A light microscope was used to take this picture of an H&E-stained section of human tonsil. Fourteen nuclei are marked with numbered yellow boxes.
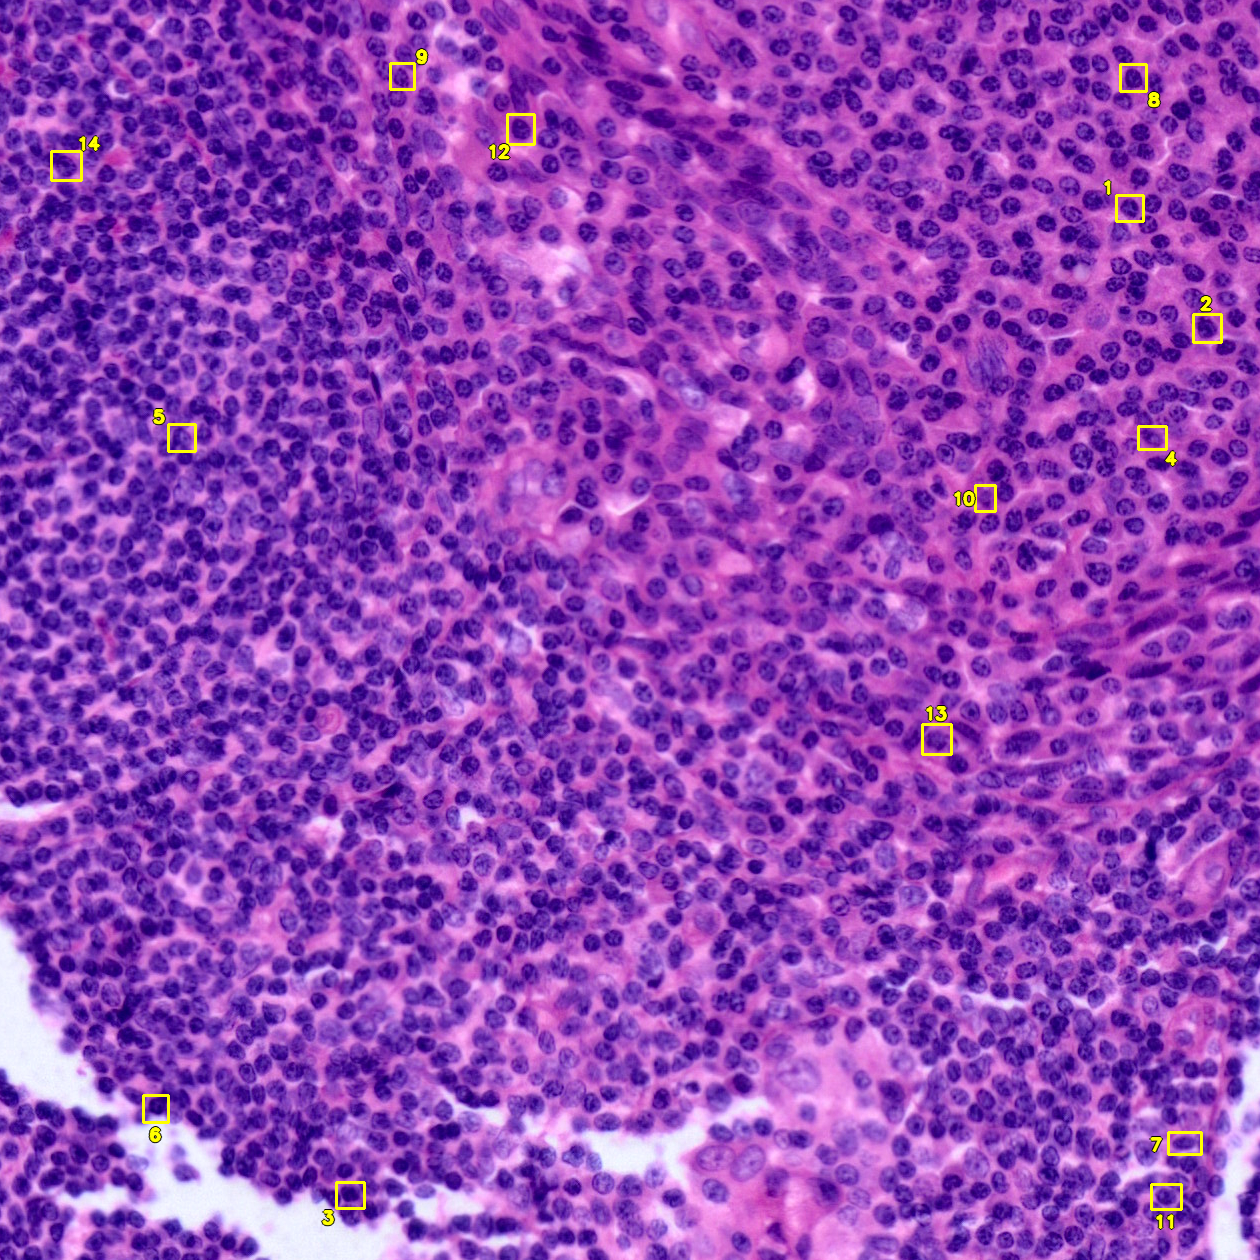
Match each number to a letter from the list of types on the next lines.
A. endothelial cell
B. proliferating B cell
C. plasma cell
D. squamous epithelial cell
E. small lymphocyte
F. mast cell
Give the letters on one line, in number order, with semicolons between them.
C; C; E; C; E; E; E; C; C; C; E; C; C; E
